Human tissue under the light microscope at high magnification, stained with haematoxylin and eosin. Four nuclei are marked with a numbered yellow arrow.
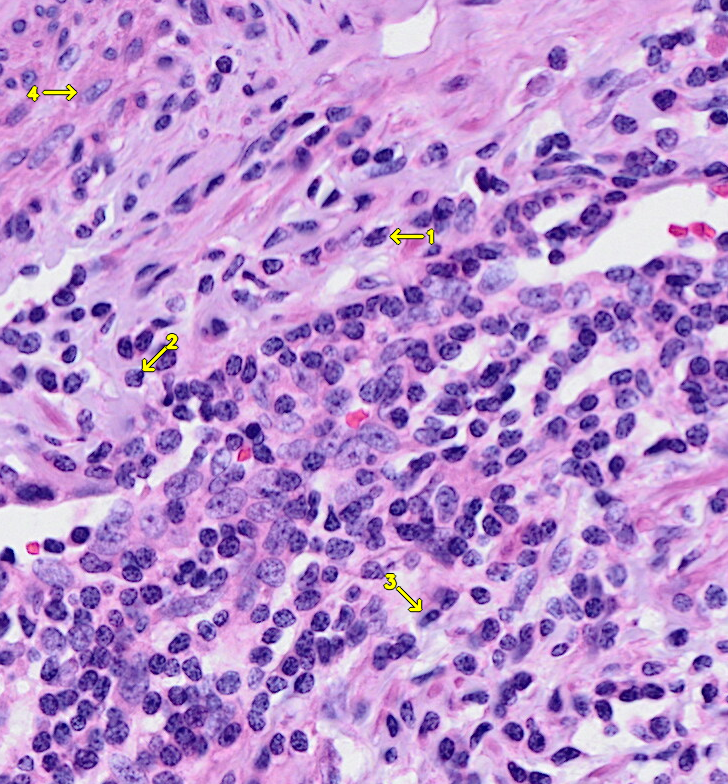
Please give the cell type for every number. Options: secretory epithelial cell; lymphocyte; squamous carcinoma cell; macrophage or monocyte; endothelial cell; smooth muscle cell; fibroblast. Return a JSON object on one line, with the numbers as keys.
{"1": "lymphocyte", "2": "lymphocyte", "3": "lymphocyte", "4": "smooth muscle cell"}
